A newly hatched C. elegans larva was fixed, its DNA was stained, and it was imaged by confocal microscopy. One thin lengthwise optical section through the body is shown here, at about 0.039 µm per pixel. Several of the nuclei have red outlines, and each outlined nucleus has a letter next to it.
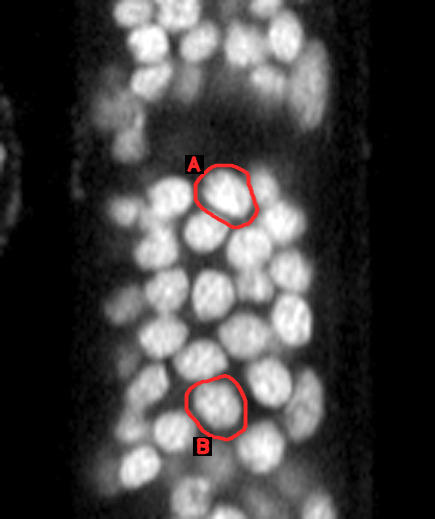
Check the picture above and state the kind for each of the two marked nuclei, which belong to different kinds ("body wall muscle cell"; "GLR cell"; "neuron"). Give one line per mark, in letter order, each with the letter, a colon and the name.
A: GLR cell
B: neuron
